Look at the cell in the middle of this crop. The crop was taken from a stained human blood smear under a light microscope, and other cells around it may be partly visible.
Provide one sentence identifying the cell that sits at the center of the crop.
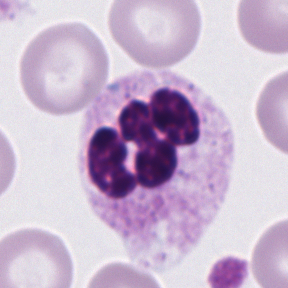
As for the cell in the middle, it is a segmented neutrophil.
